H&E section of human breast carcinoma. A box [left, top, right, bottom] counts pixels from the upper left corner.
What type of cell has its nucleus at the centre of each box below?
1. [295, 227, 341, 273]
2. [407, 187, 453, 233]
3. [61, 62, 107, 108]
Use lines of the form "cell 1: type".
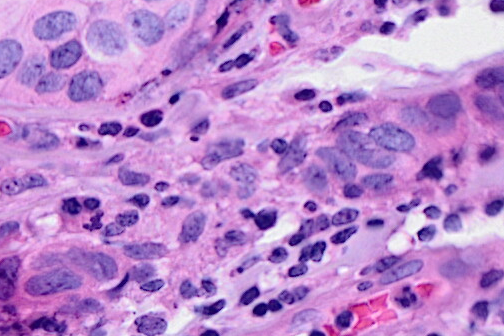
cell 1: lymphocyte
cell 2: lymphocyte
cell 3: carcinoma cell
